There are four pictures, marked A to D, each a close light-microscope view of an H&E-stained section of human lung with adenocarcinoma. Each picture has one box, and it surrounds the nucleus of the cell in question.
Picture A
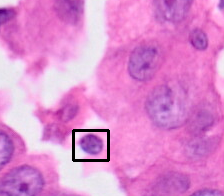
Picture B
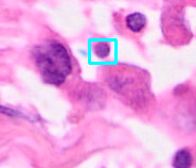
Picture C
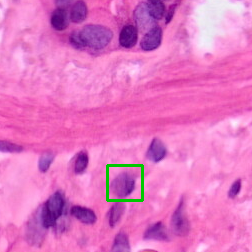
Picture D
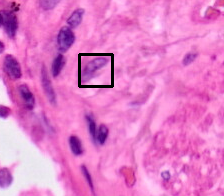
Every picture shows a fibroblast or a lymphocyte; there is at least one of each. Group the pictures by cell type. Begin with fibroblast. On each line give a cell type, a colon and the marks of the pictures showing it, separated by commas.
fibroblast: C, D
lymphocyte: A, B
